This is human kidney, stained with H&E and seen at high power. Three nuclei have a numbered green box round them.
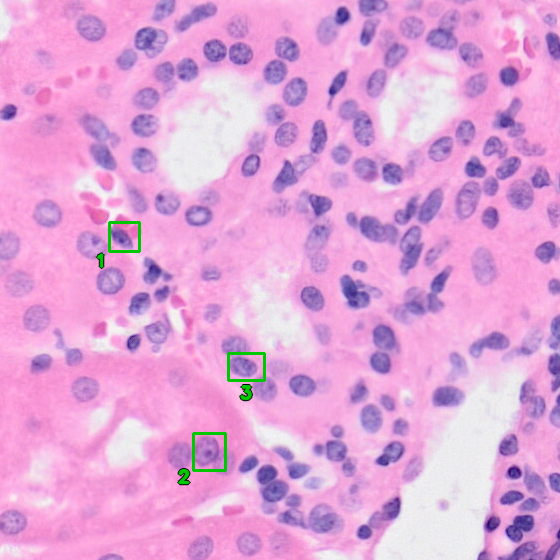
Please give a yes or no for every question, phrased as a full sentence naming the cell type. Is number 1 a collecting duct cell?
No, that is wrong: cell 1 is an endothelial cell, and not a collecting duct cell.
